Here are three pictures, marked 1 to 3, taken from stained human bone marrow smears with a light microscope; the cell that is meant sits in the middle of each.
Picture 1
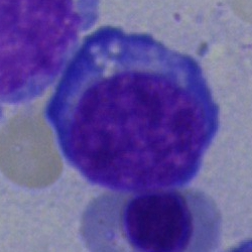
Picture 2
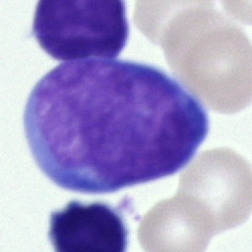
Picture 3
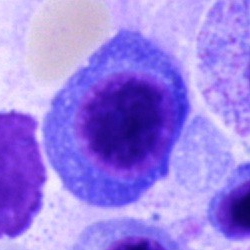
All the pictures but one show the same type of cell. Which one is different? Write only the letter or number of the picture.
3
